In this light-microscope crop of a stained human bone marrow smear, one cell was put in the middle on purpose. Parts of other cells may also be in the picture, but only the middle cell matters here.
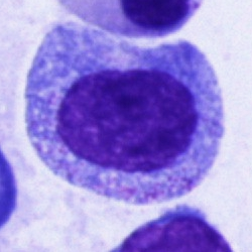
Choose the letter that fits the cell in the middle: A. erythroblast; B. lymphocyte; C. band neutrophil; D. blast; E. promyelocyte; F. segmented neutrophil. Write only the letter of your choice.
E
